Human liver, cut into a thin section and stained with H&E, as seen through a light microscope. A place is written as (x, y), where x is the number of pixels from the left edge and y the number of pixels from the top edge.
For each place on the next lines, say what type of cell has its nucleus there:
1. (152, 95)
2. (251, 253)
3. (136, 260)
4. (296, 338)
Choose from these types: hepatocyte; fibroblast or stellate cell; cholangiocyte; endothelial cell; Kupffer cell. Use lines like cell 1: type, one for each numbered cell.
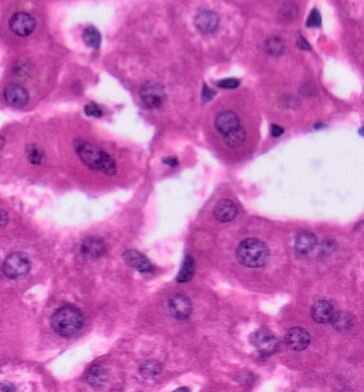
cell 1: hepatocyte
cell 2: hepatocyte
cell 3: Kupffer cell
cell 4: hepatocyte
